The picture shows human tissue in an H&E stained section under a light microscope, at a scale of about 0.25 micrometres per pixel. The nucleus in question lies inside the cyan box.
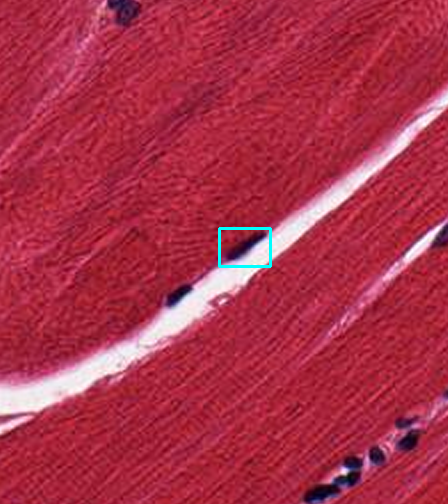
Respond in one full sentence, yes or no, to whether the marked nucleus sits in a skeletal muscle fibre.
Yes, the marked nucleus is located in a skeletal muscle fibre.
